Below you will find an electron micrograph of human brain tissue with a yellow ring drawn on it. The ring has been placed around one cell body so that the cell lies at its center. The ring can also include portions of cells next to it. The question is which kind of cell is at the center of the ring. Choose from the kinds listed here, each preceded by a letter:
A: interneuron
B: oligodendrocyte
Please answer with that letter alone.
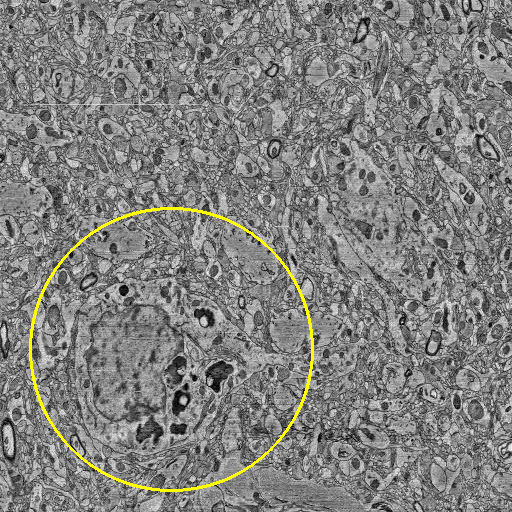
A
